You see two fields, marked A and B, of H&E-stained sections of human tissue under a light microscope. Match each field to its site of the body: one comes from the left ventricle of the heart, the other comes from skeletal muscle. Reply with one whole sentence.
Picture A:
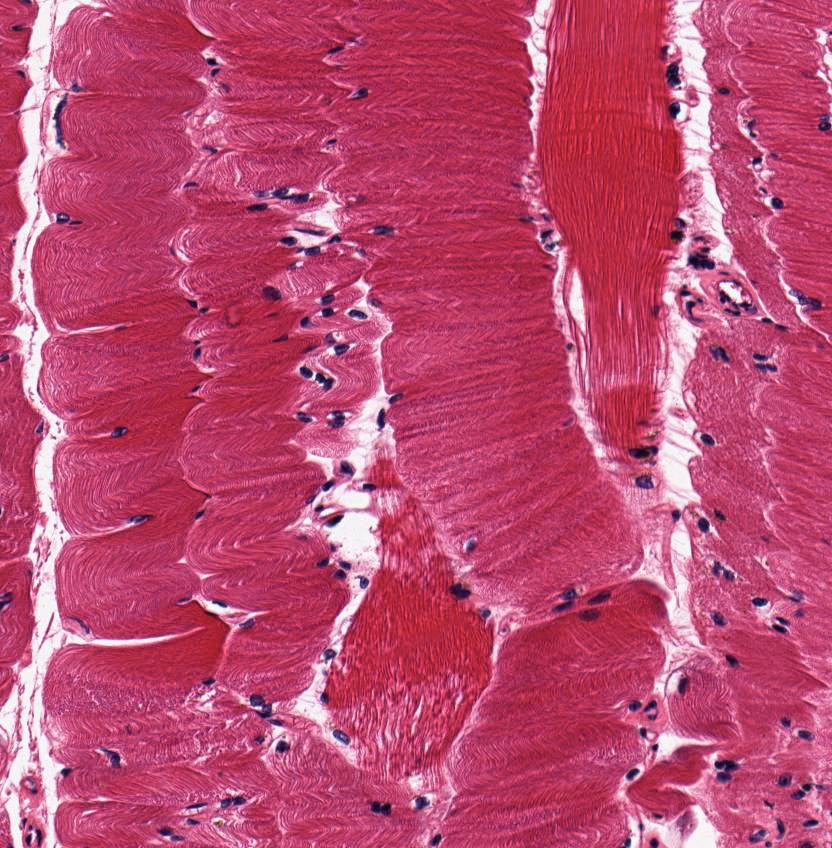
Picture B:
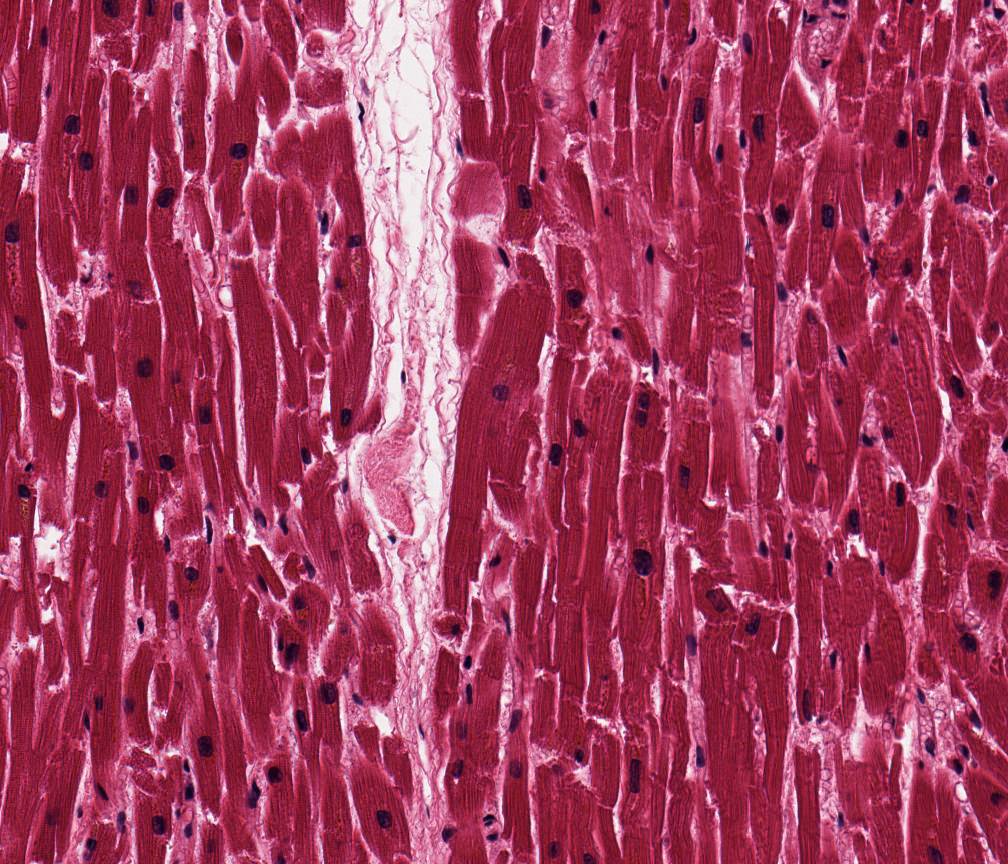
It is picture A that comes from skeletal muscle, and picture B that comes from the left ventricle of the heart.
